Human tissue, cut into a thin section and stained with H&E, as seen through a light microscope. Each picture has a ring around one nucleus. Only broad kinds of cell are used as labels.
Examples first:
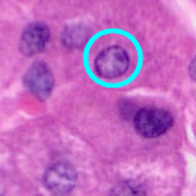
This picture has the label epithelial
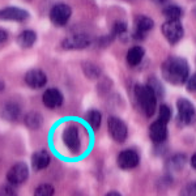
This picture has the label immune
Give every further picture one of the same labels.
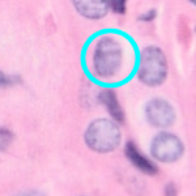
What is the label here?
epithelial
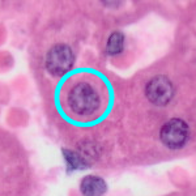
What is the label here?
epithelial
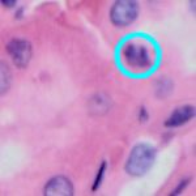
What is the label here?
epithelial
